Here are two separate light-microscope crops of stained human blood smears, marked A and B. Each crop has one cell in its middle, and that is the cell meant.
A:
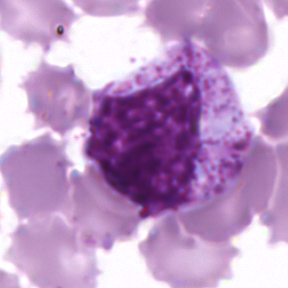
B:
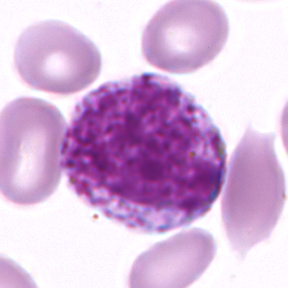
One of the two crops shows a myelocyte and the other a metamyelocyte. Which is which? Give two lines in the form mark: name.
A: myelocyte
B: metamyelocyte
